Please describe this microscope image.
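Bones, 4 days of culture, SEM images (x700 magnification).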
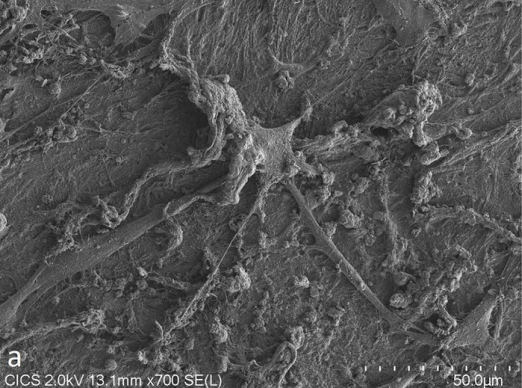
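A central cell body sends out several branching processes in a star-like shape, and fine thread-like extensions reach across the surface. The ground around it is covered with fibrous and granular material.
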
